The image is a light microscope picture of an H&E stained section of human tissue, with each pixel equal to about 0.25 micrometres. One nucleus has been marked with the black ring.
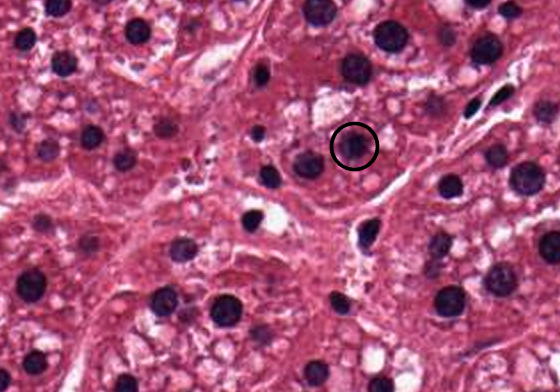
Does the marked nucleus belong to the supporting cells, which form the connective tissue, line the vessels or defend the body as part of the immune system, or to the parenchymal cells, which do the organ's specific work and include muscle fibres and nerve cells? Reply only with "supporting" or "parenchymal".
parenchymal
